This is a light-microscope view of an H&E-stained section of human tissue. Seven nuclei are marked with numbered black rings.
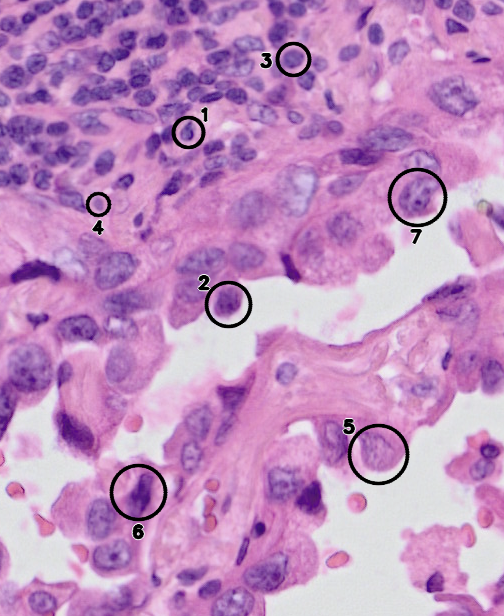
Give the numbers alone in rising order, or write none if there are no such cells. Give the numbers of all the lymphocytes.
1, 3, 4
